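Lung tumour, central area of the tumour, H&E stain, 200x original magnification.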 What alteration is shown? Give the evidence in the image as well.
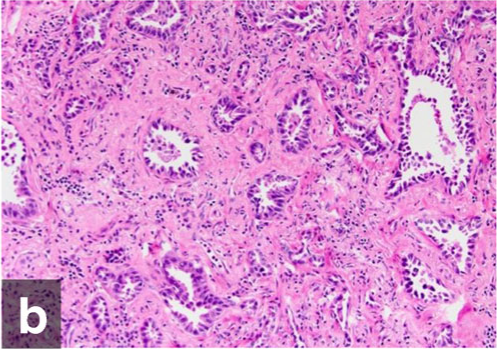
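Tumour cells form rounded and angulated glands with central lumina. The glands lie scattered in pink fibrous stroma. No alveolar framework remains between the glands.
Hence: invasive acinar growth pattern.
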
